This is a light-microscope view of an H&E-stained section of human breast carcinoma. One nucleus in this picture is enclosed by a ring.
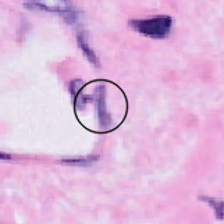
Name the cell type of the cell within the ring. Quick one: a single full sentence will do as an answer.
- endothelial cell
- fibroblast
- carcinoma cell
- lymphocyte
In this tissue sample, the cell within the ring is an endothelial cell.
